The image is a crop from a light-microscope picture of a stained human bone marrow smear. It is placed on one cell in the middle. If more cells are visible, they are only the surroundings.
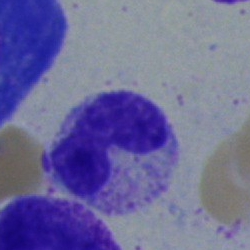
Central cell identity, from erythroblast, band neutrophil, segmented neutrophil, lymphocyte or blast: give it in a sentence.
The single cell at the center of the crop is a band neutrophil.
